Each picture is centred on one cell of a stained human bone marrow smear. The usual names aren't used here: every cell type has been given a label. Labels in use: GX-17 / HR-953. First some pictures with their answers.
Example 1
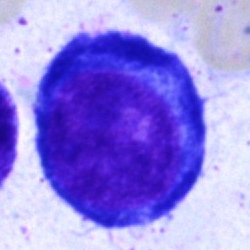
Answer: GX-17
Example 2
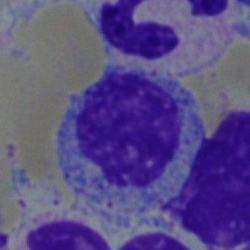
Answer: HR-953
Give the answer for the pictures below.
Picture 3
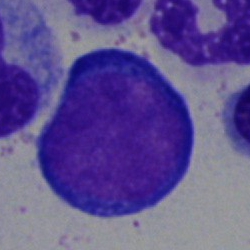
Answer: GX-17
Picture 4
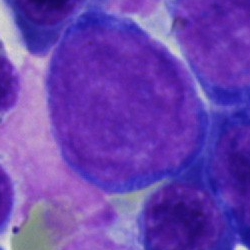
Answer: GX-17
